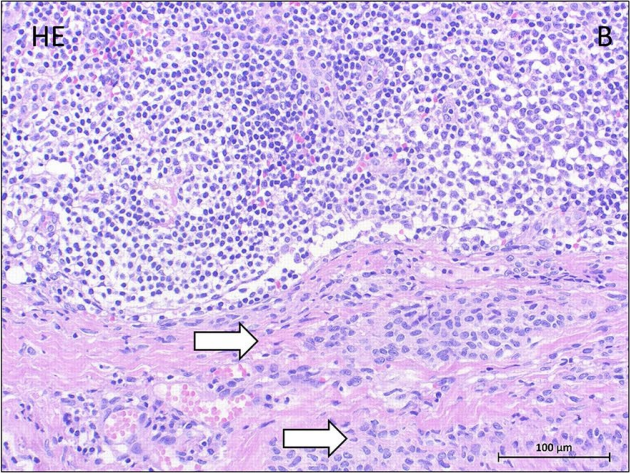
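Lymph node with small groups of melanocytic cells in the fibrous capsule. The upper half is packed with small lymphocytes with dark round nuclei and scant cytoplasm. Below, a band of pink collagen runs across the field, and within it lie small clusters of larger cells with oval, pale, evenly stained nuclei and moderate pale pink cytoplasm. These cells look bland, without marked nuclear enlargement or irregularity. A few small vessels with red blood cells lie in the fibrous tissue nearby.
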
